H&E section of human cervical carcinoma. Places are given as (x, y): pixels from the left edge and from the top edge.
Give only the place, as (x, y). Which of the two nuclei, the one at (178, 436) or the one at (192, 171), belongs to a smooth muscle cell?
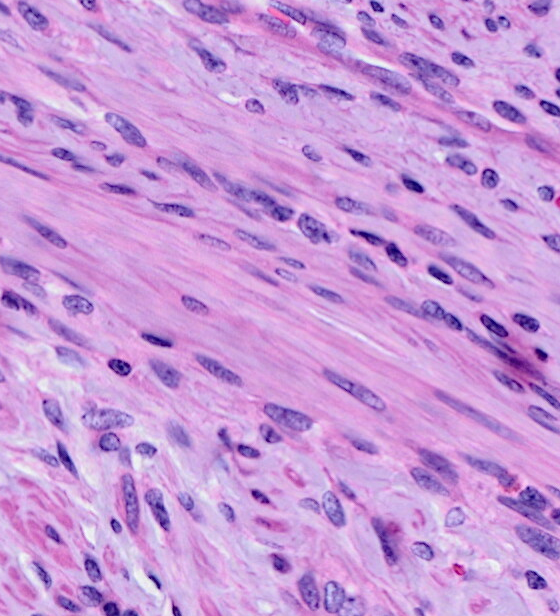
(192, 171)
